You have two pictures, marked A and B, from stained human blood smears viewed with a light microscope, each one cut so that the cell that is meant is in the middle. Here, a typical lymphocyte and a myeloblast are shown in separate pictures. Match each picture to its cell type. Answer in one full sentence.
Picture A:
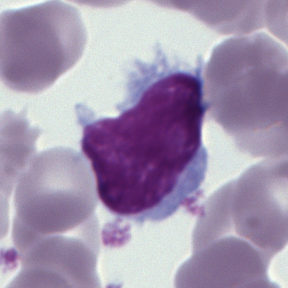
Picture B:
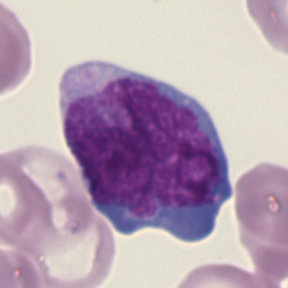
In picture A the cell is a typical lymphocyte; in picture B, a myeloblast.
